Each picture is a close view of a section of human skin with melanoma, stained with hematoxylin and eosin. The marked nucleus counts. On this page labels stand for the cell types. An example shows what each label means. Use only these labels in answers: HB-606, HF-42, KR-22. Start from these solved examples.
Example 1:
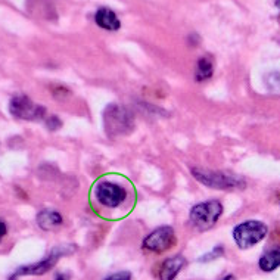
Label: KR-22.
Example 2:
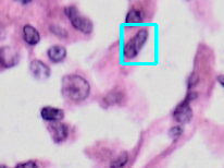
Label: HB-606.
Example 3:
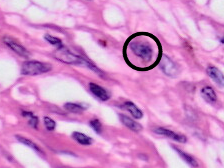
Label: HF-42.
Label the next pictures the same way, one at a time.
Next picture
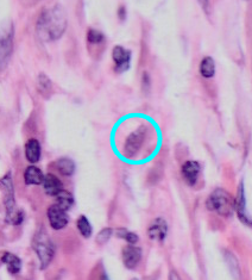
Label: HB-606.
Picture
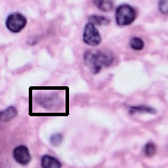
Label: HB-606.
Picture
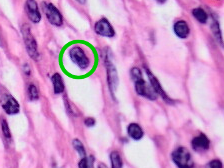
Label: HF-42.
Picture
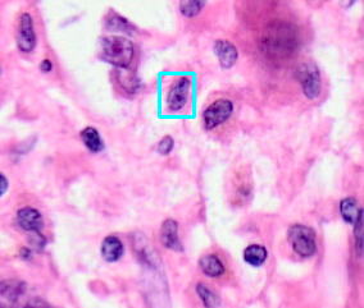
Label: HB-606.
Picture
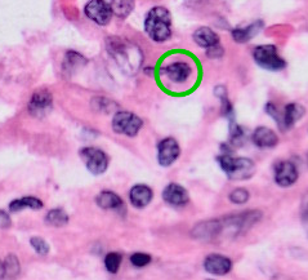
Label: HF-42.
